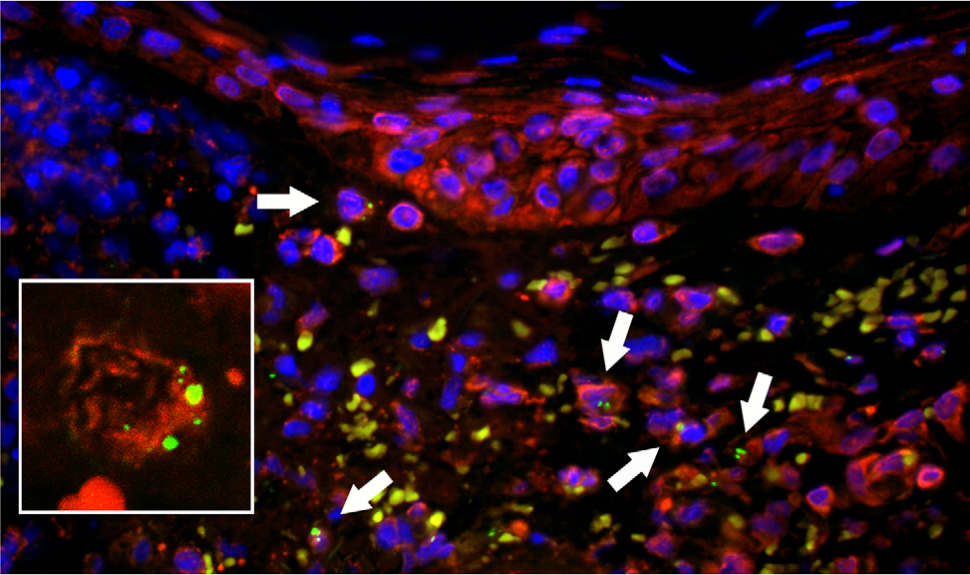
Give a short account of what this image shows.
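Across the top runs a dense band of closely packed cells, each with a round or oval blue nucleus and red cytoplasm, forming a compact cluster. Tiny green dots sit inside several of the scattered red cells, which the arrows pick out. The enlarged inset shows one such cell at higher power, with an irregular red outline and several bright green dots lying within its cytoplasm.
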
